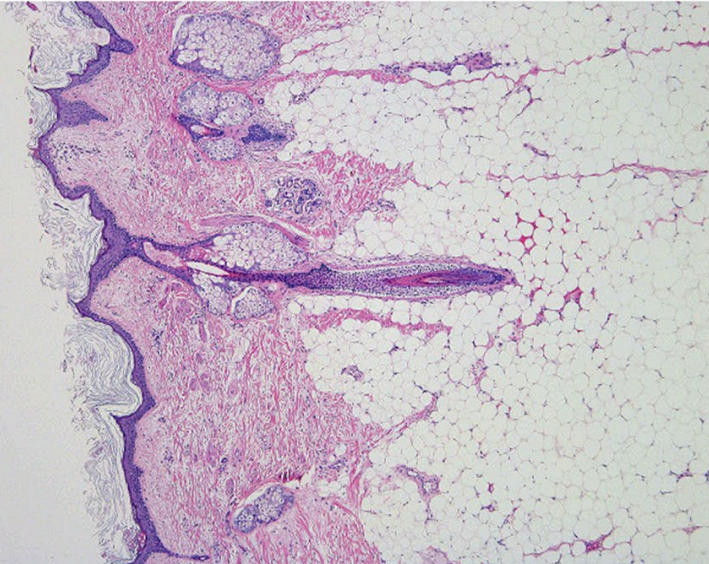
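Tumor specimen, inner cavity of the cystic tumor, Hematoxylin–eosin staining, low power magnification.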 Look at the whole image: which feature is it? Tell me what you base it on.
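An elongated, purple cell-lined tube runs from the surface deep into the fat. A pink keratinous shaft lies in its centre.
Hair follicles.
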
